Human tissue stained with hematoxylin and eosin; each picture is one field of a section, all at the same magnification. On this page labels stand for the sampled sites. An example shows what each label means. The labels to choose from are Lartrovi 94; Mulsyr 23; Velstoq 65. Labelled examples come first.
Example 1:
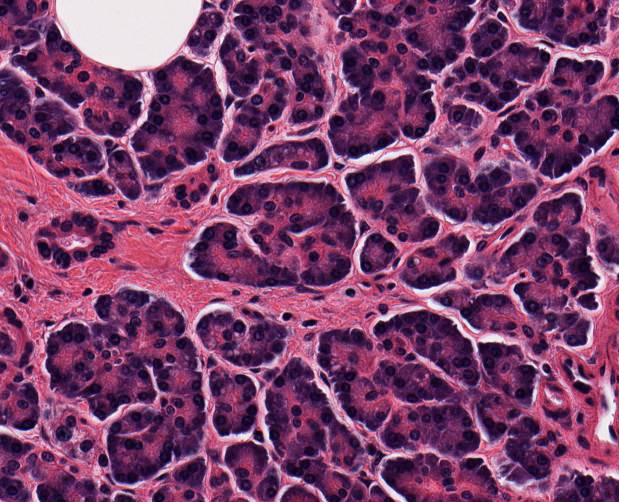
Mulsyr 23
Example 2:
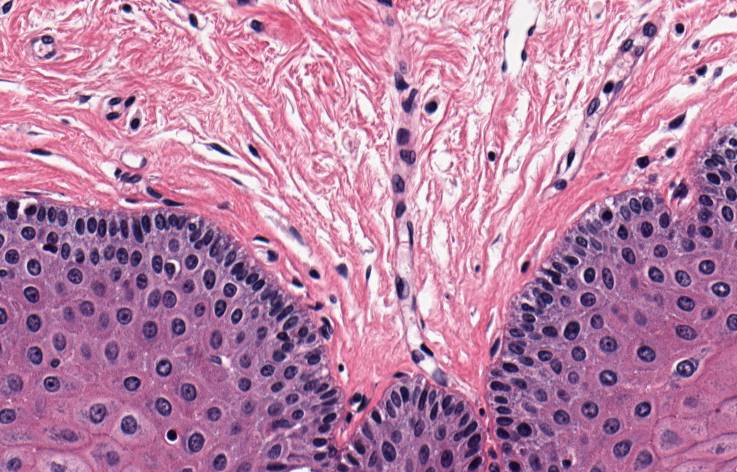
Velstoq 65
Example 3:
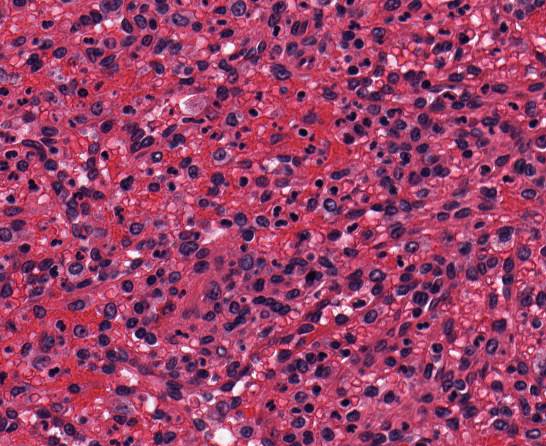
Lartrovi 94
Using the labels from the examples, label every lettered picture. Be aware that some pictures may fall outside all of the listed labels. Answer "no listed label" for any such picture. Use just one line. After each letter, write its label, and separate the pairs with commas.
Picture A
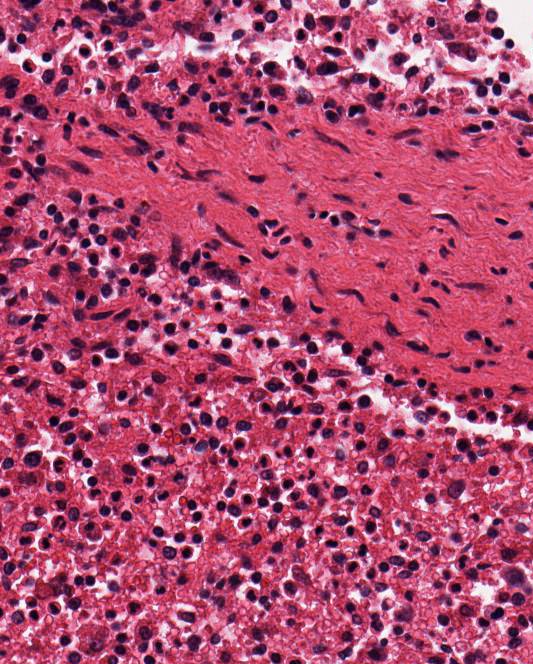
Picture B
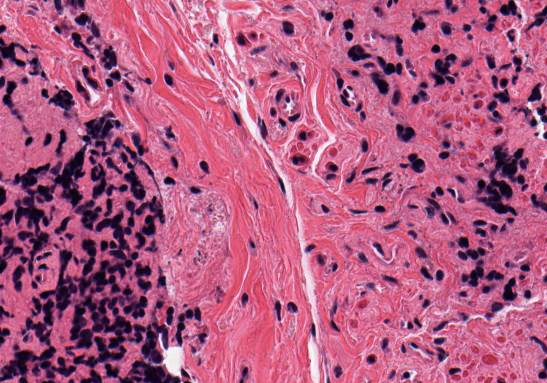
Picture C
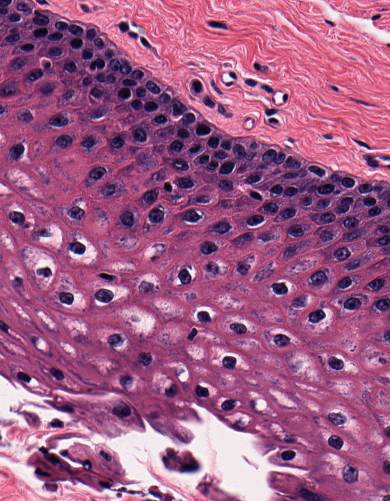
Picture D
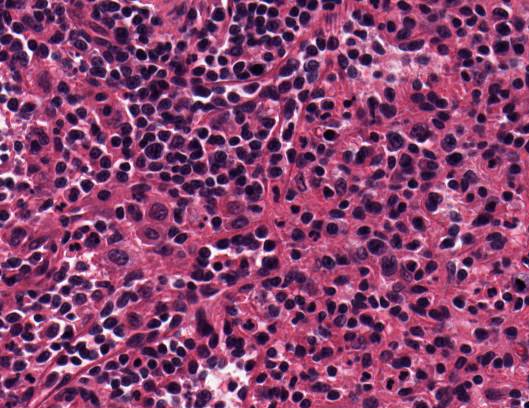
A Lartrovi 94, B no listed label, C Velstoq 65, D Lartrovi 94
